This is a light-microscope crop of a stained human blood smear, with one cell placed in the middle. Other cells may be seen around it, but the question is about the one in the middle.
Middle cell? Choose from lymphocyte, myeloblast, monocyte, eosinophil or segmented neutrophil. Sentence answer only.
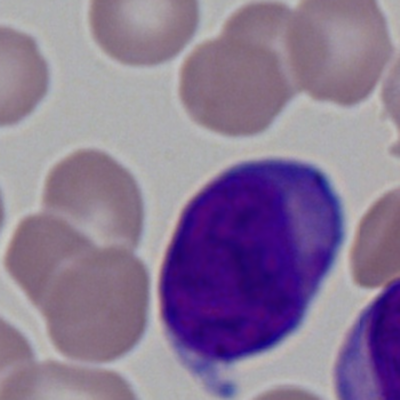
Whatever else lies nearby, the middle cell is a myeloblast.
